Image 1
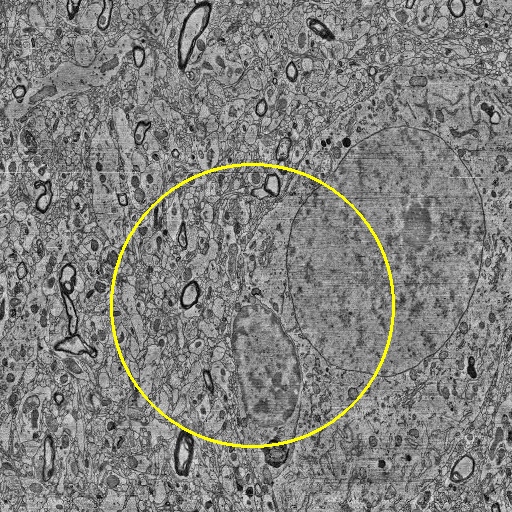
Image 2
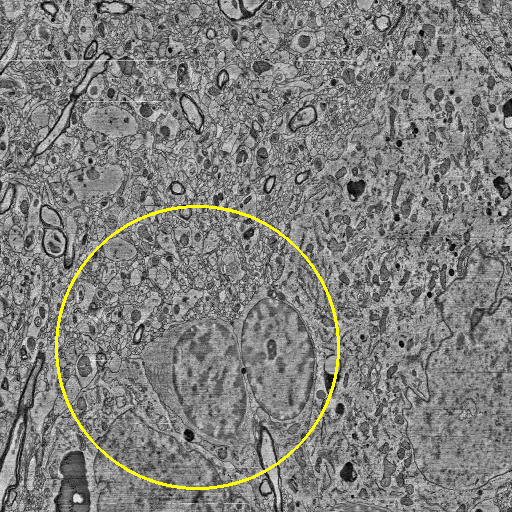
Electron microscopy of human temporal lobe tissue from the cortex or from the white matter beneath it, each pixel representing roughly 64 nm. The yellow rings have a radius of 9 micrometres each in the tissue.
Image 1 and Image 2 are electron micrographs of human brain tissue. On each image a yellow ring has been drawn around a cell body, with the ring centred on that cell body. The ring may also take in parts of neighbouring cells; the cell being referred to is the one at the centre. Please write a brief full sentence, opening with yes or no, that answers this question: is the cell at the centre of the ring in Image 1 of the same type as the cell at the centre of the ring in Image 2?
Yes, both cells are of the same type.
